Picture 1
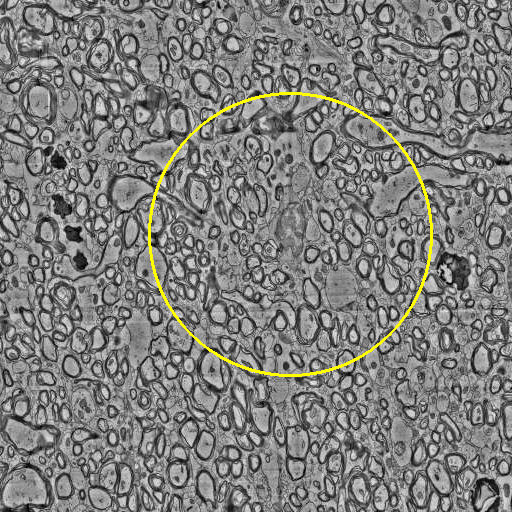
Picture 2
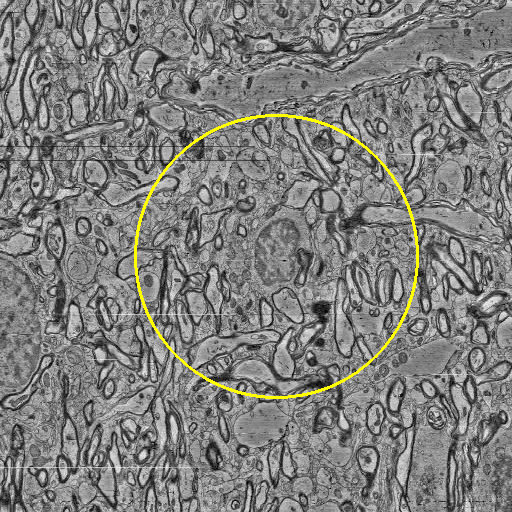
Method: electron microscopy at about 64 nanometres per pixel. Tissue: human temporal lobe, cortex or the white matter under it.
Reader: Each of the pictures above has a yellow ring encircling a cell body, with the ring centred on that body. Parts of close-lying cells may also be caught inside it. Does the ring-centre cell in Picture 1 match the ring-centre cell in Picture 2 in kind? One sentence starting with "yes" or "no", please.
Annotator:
Yes, Picture 1 and Picture 2 show ring-centre cells of a single kind.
